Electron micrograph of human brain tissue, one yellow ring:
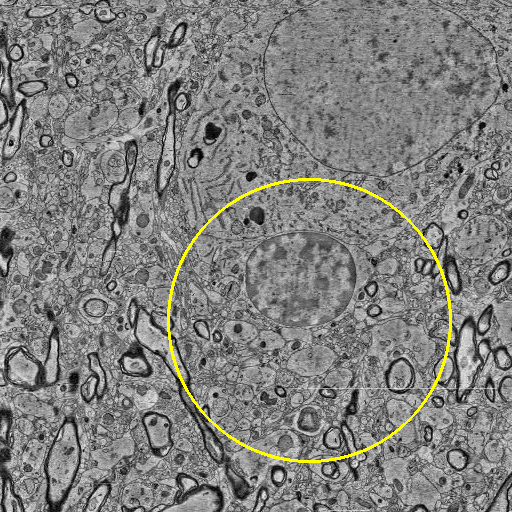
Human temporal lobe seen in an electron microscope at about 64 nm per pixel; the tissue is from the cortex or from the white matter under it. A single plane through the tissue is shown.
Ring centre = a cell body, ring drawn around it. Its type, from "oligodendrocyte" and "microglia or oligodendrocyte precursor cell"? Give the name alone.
microglia or oligodendrocyte precursor cell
